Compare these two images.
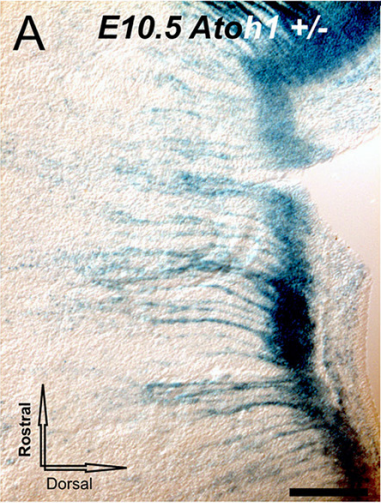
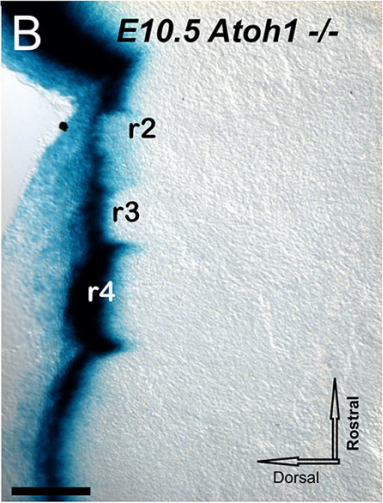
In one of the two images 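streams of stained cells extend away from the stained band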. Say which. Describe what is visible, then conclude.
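The first image. Second image: the blue stain stays confined to a continuous band with no streams leaving it. First image: many thin blue streams fan out from the dense band into the surrounding tissue.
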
